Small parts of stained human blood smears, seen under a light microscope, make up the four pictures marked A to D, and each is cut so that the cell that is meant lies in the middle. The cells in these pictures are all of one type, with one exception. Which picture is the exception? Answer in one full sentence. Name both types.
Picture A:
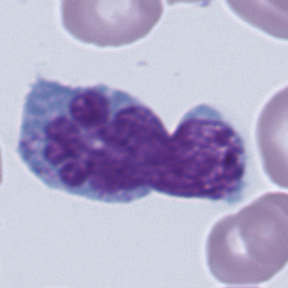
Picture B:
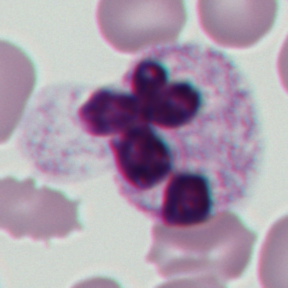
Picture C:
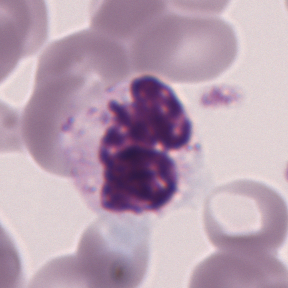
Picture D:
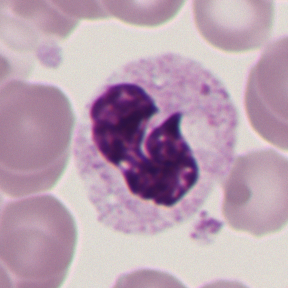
All pictures except A show segmented neutrophils; picture A shows a monocyte.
